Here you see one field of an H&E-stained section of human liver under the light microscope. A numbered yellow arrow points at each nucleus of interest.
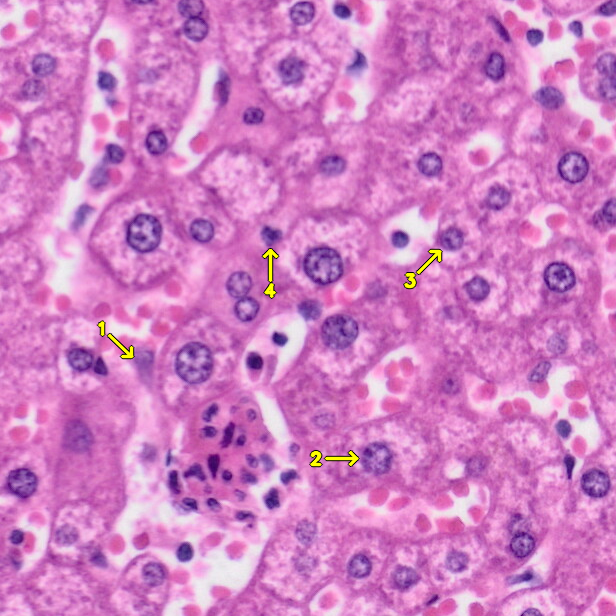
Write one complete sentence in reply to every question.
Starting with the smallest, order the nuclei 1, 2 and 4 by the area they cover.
The order from the smallest nucleus to the largest is 4, 1, 2.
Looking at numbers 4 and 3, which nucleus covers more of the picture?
The larger nucleus is 3, at roughly 1.5 times the area of 4.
